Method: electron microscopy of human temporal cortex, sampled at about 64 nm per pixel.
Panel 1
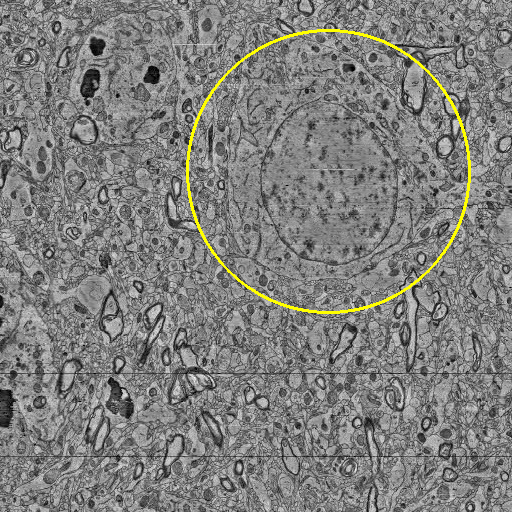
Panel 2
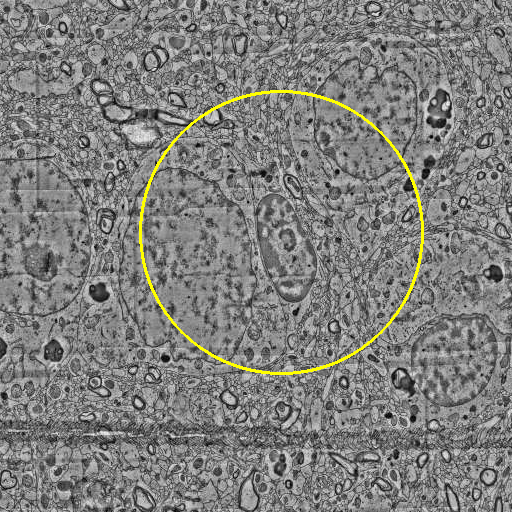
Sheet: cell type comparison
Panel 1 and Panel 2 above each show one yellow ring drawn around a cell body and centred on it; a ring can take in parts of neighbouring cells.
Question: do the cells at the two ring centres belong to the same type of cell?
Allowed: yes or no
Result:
no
